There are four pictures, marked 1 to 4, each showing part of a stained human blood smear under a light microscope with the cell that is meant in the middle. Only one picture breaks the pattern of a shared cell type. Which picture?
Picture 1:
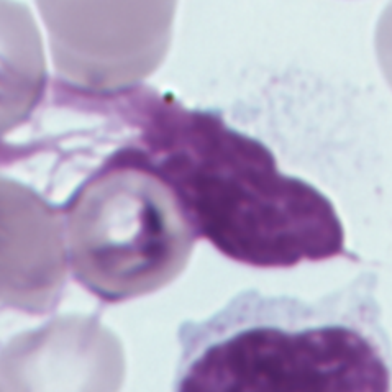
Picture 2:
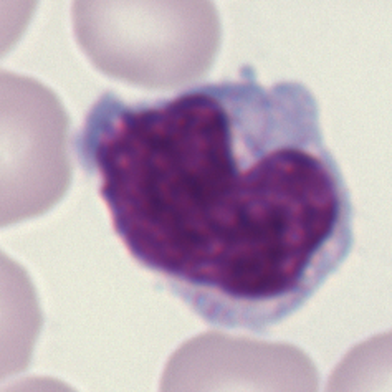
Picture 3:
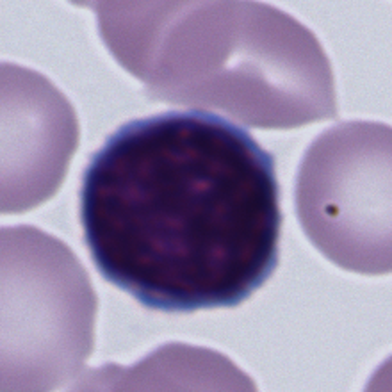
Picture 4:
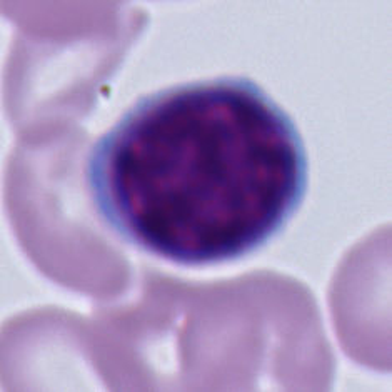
1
